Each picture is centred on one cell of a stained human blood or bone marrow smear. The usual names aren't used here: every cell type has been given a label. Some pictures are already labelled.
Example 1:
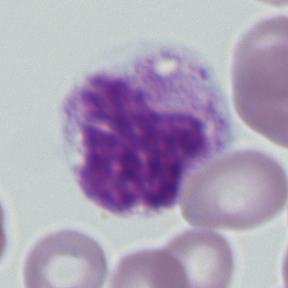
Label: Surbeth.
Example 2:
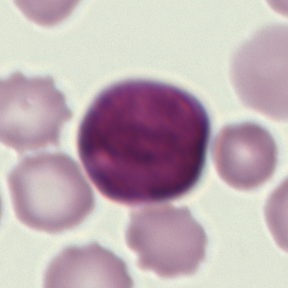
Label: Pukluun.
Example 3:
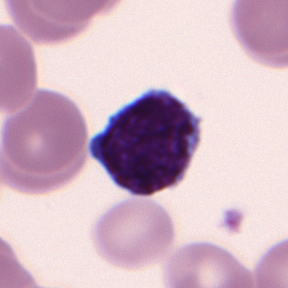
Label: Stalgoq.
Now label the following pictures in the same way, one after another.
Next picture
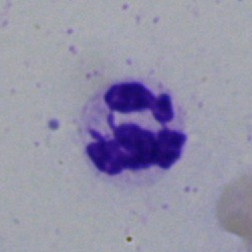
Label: Surbeth.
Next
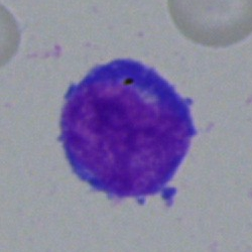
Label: Pukluun.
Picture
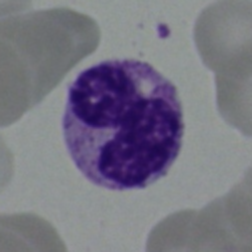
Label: Surbeth.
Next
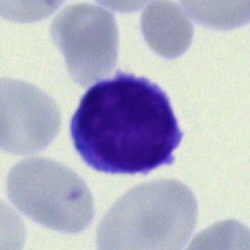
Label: Stalgoq.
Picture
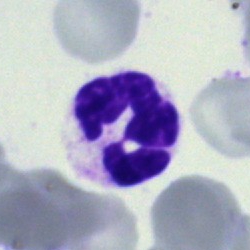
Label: Surbeth.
